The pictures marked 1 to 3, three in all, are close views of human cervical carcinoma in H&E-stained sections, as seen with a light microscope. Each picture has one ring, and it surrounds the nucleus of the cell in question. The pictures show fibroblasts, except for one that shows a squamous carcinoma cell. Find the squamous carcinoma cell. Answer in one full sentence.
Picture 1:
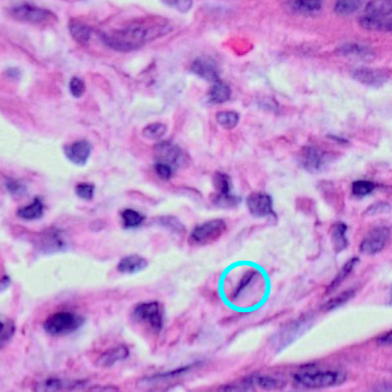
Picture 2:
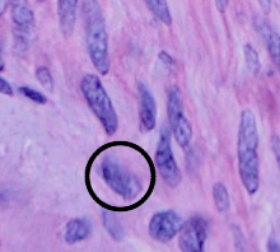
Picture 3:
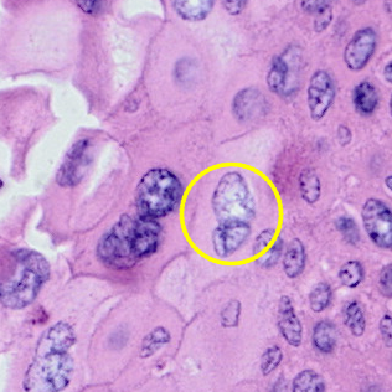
The picture with the squamous carcinoma cell is 3.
